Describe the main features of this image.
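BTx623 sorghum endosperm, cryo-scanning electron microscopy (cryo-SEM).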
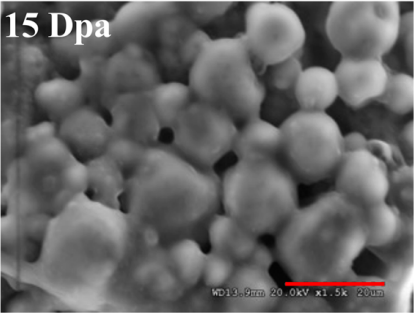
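Many are several micrometres across, some nearly spherical, others flattened or faceted where they press against their neighbours. Smaller granules sit in the spaces between the big ones. The packing is dense, with only narrow dark crevices left between the bodies. In the lower left a larger, smoother rounded mass lies among them. The surface texture of the granules is smooth, giving the whole field a cobbled appearance.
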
